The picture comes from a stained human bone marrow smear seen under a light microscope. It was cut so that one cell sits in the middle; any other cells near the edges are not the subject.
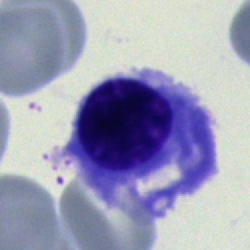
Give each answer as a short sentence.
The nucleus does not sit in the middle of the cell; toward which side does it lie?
Seen from the middle of the cell, the nucleus lies toward the upper left.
